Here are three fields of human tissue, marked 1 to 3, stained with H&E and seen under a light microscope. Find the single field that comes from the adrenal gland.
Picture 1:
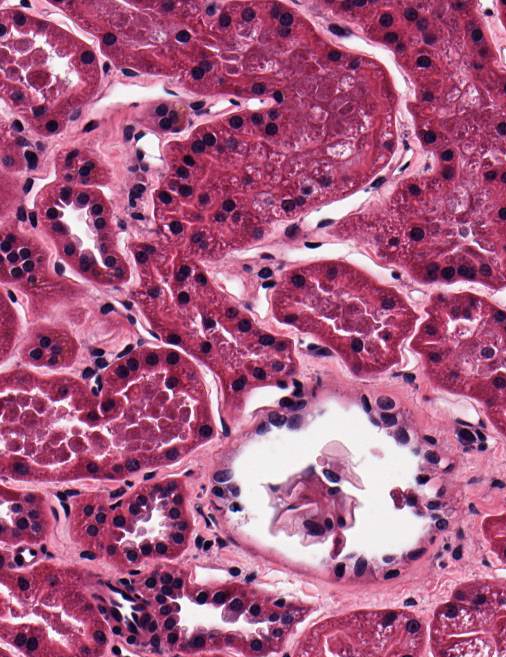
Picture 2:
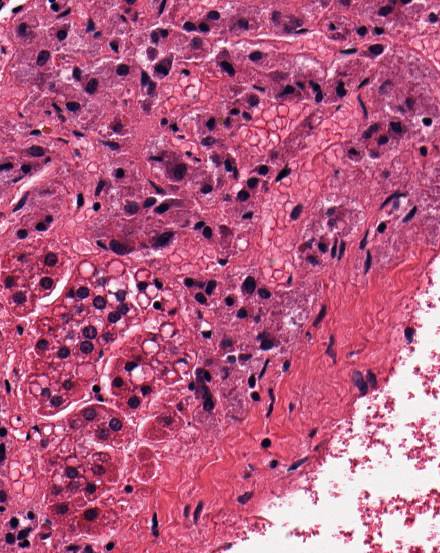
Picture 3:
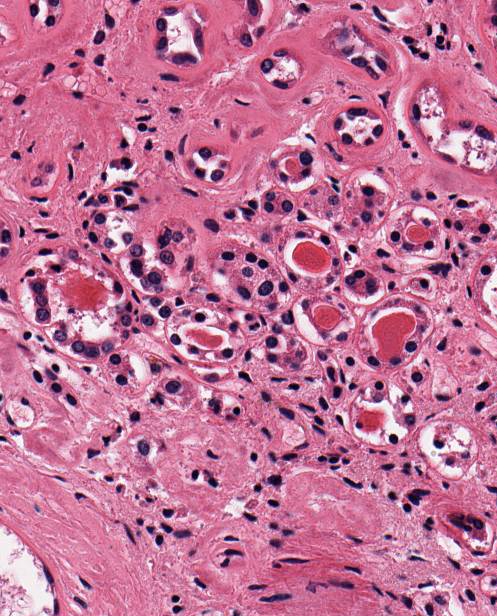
2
